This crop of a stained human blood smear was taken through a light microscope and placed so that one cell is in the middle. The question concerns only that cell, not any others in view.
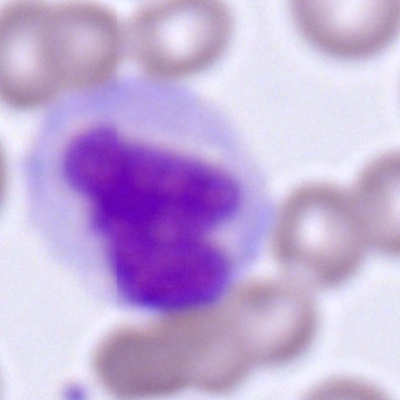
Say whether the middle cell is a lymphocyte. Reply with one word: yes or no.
no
